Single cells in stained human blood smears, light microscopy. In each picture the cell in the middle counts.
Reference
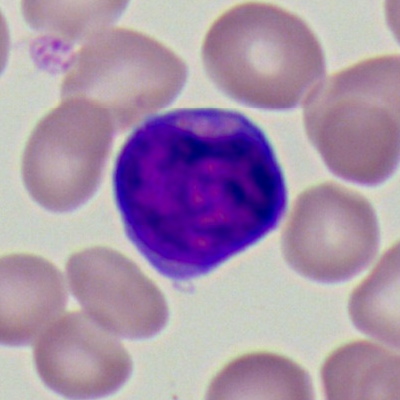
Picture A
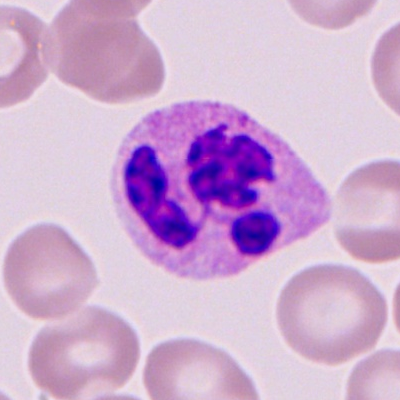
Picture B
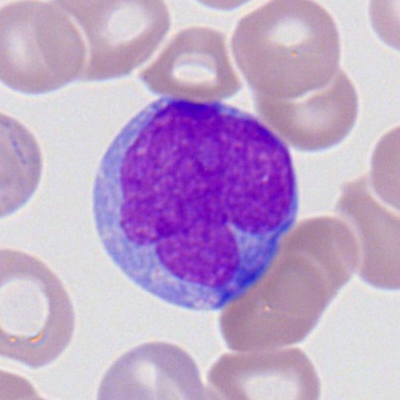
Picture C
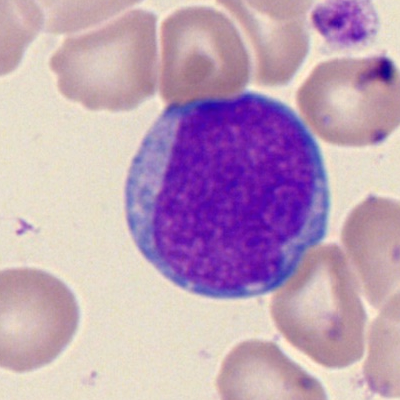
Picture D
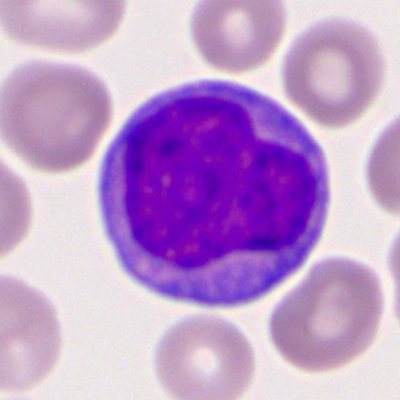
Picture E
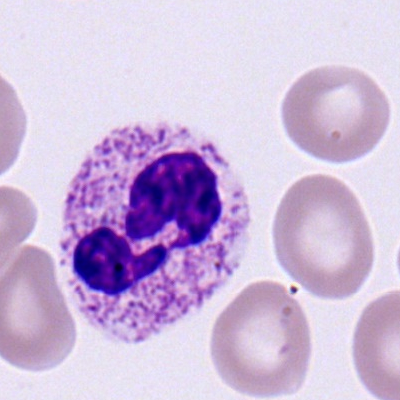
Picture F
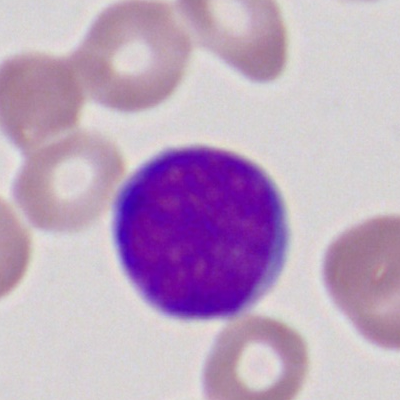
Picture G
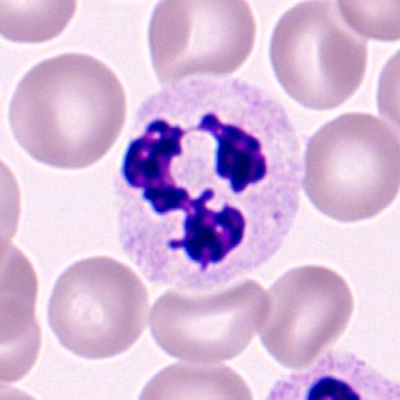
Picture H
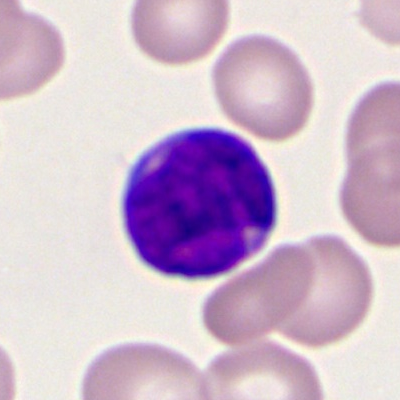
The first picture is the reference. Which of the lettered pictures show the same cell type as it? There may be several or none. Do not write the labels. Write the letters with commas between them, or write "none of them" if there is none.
B, C, D, F, H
